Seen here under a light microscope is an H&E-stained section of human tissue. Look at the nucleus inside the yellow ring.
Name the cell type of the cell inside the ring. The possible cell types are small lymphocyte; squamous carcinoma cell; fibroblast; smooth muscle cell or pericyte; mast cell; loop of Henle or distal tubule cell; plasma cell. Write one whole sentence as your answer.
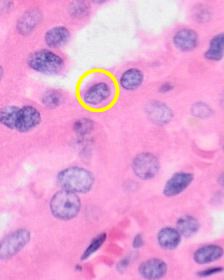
The cell inside the ring is a loop of Henle or distal tubule cell.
